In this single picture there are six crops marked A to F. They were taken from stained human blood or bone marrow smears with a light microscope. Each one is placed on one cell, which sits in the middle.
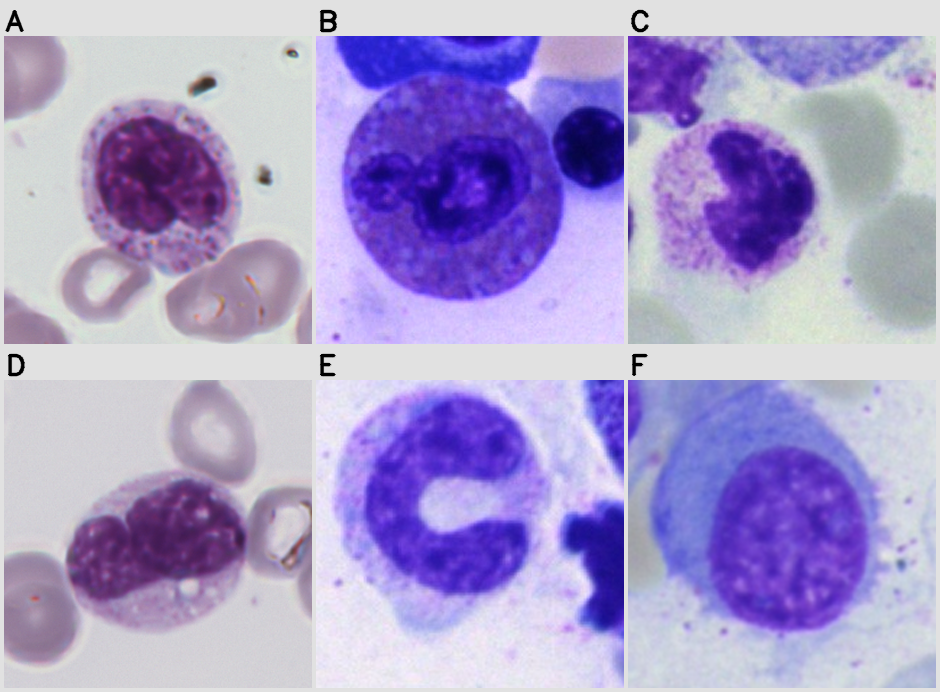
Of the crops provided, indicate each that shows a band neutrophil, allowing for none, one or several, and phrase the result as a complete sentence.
Crops A, C, D and E each contain a central cell, and these cells are band neutrophils.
